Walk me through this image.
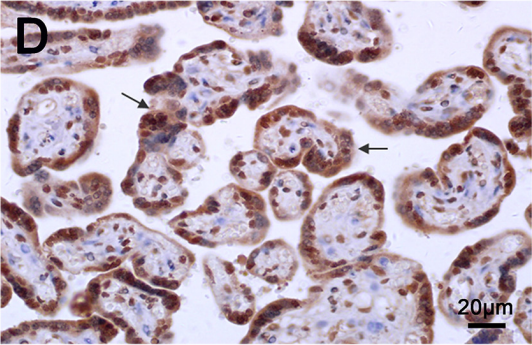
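This section shows small, rounded chorionic villi with a covering of trophoblast cells. The trophoblast layer at the surface of each villus is strongly brown, and its crowded nuclei are also stained brown. The villous cores are paler, with loosely arranged stromal cells, some with blue nuclei and others lightly brown. Small vessel lumens are visible within some cores. The villi lie close together with narrow clear spaces between them.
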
